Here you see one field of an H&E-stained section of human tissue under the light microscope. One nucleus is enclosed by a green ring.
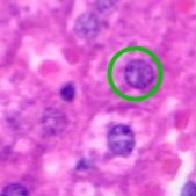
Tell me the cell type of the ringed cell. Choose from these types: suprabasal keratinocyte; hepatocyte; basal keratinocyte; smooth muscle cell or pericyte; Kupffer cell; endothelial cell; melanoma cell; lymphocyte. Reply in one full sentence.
The classification of the ringed cell is as a hepatocyte.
